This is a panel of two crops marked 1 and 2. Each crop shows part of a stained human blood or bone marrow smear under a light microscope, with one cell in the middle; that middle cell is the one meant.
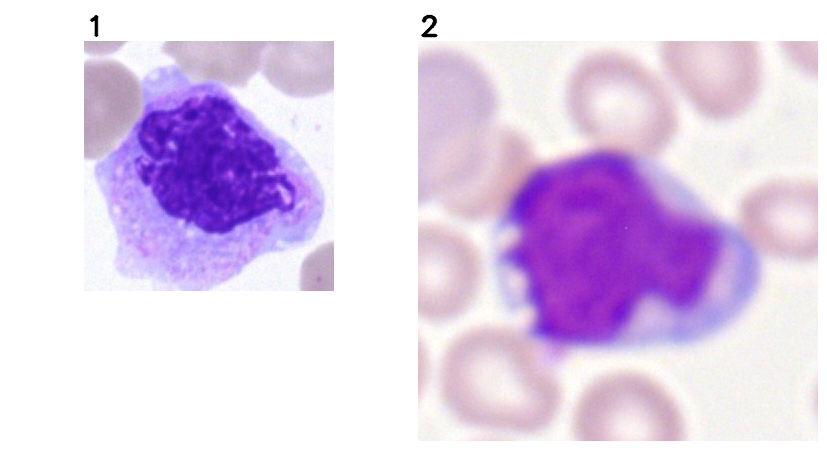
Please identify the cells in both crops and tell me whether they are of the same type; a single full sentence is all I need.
No, crop 1 shows a monocyte, with a blast shown in crop 2.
